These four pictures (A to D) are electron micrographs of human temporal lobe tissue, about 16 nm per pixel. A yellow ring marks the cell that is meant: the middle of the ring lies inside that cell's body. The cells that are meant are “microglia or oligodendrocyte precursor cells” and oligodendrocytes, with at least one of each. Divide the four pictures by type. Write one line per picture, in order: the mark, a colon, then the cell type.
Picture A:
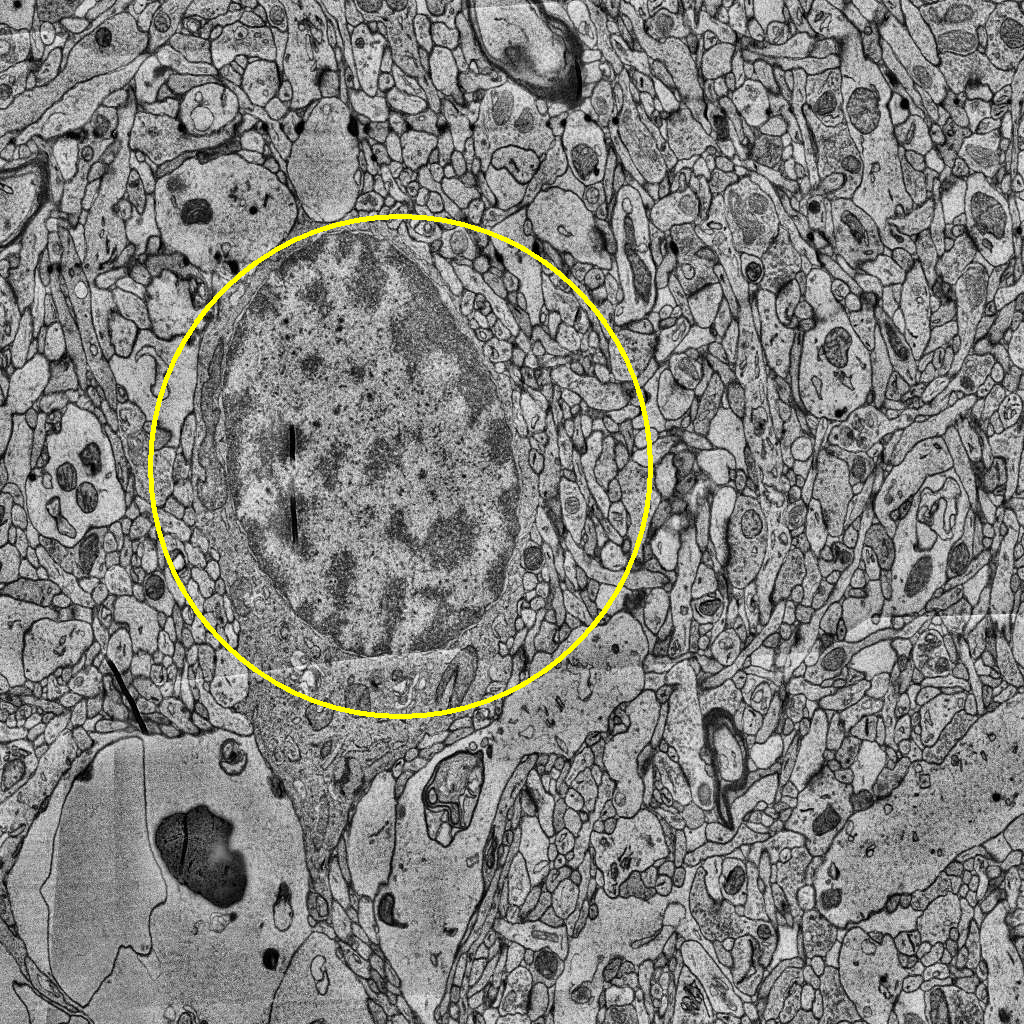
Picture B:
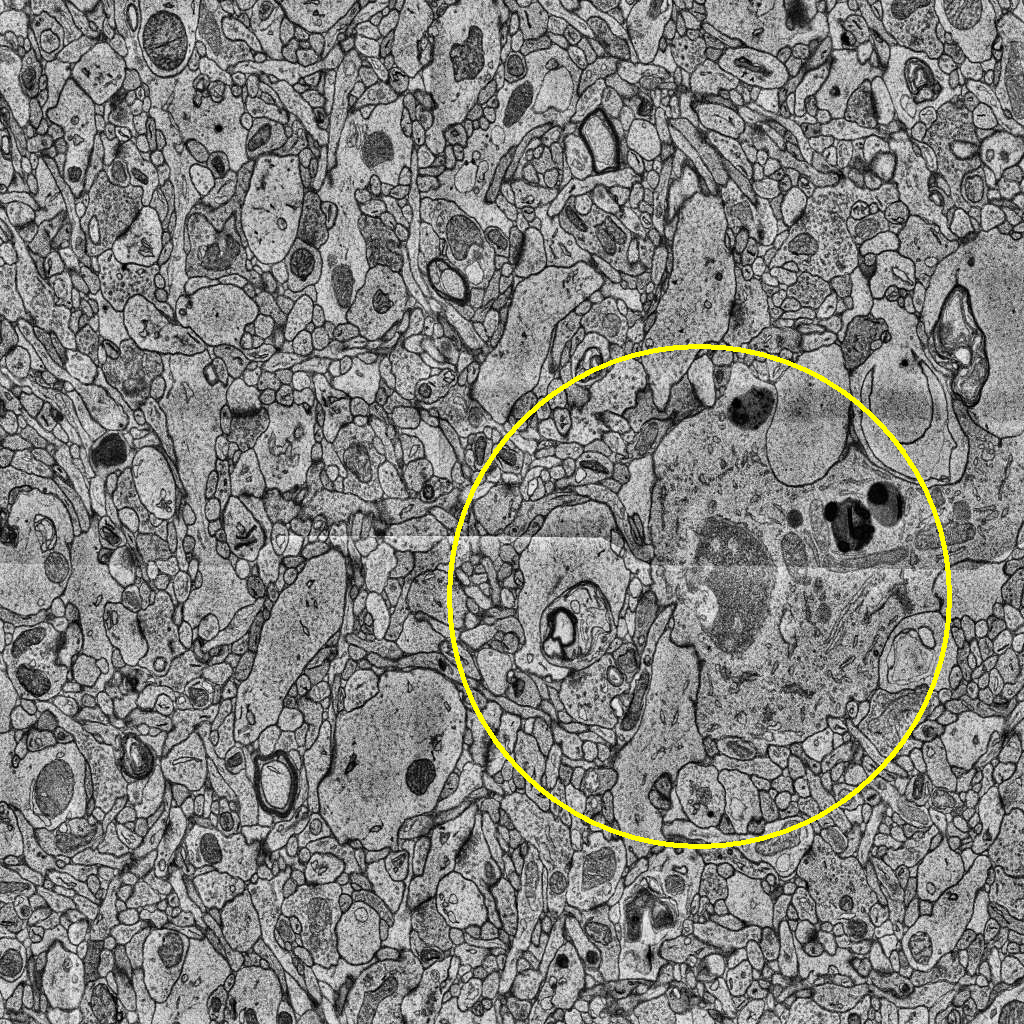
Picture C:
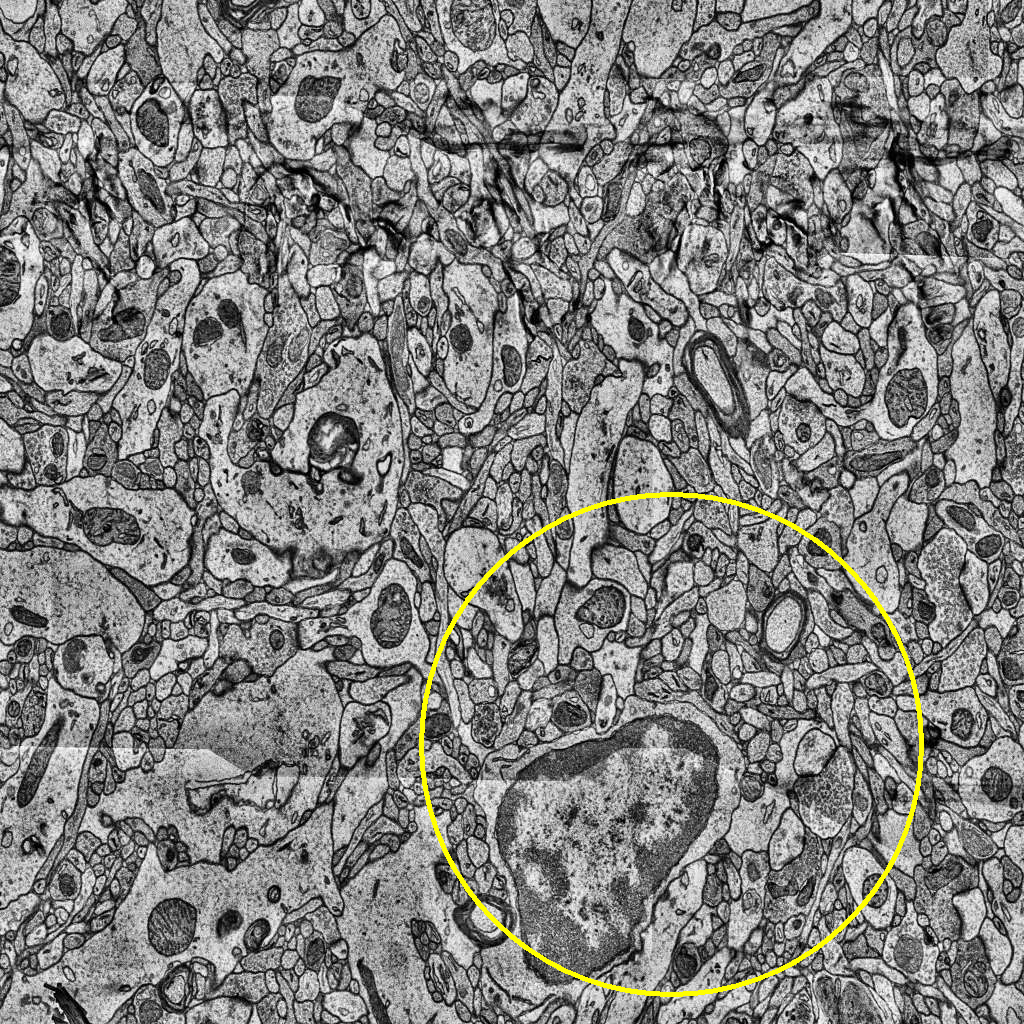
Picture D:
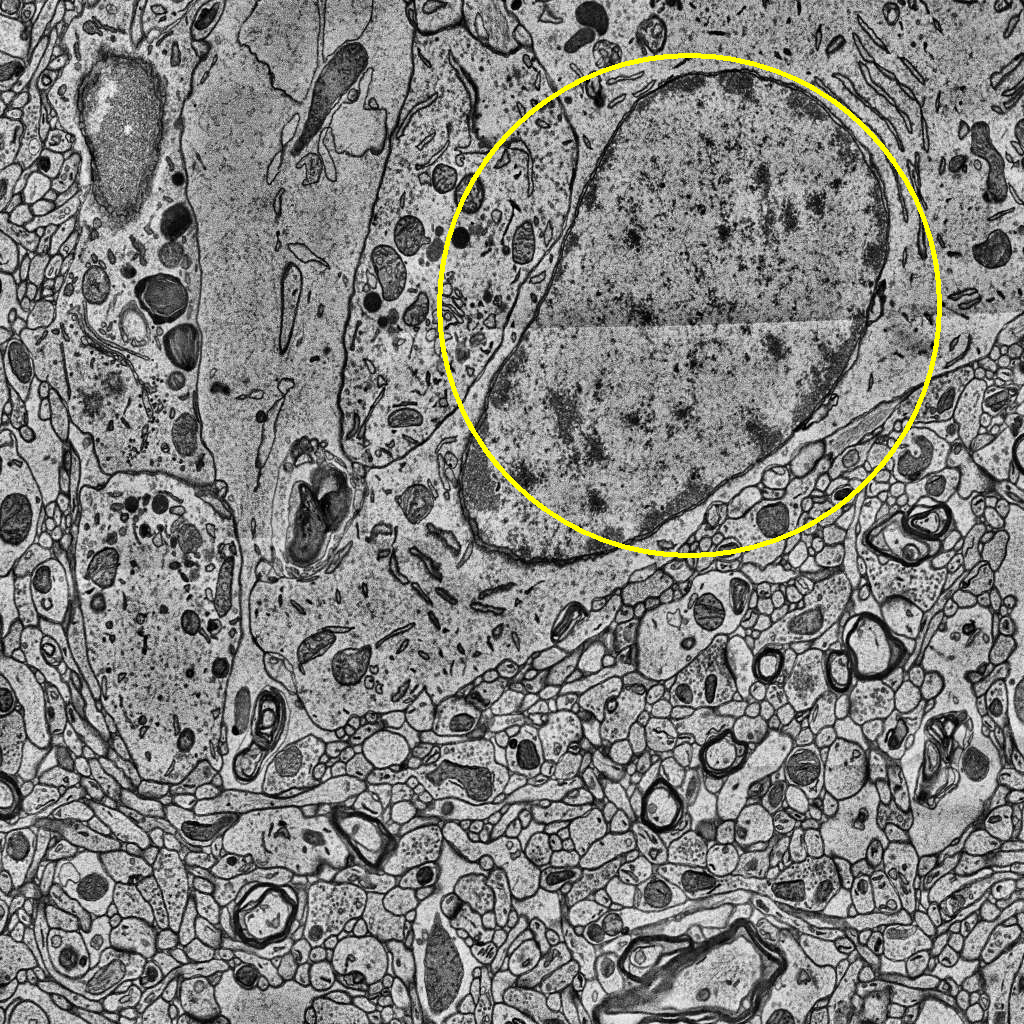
A: oligodendrocyte
B: microglia or oligodendrocyte precursor cell
C: microglia or oligodendrocyte precursor cell
D: microglia or oligodendrocyte precursor cell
